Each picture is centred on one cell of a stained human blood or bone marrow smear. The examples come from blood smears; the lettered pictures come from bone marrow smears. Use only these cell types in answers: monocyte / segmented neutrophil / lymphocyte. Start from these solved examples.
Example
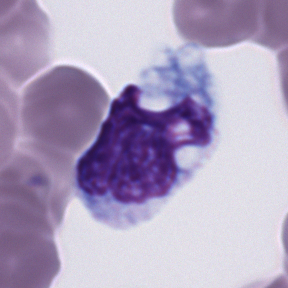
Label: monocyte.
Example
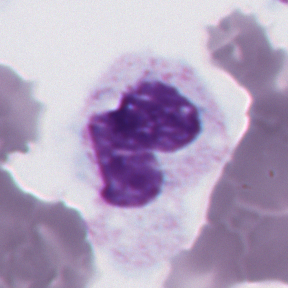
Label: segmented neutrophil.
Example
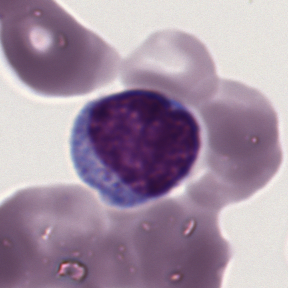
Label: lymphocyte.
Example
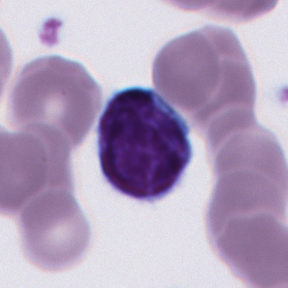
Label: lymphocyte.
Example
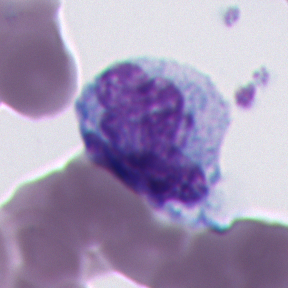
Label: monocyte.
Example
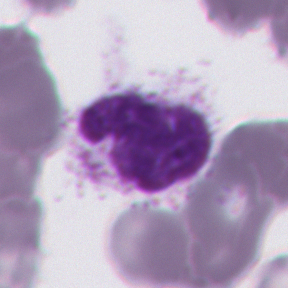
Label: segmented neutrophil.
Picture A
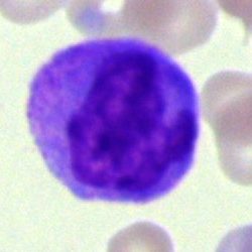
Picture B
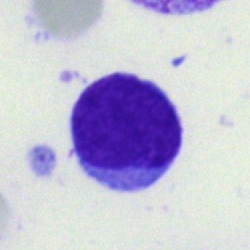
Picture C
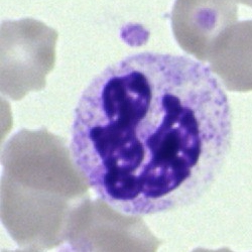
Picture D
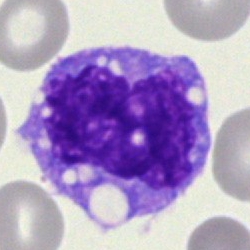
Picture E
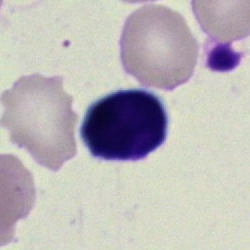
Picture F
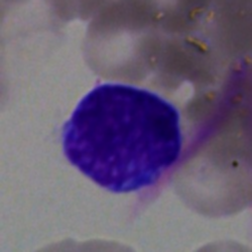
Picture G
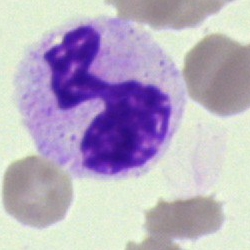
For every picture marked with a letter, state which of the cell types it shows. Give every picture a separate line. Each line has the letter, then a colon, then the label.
A: monocyte.
B: lymphocyte.
C: segmented neutrophil.
D: monocyte.
E: lymphocyte.
F: lymphocyte.
G: segmented neutrophil.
